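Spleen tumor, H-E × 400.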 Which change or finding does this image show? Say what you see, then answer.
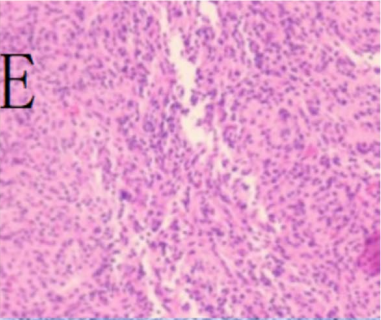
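Arranged in bundles. Groups of cells are separated by thin pale clefts.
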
